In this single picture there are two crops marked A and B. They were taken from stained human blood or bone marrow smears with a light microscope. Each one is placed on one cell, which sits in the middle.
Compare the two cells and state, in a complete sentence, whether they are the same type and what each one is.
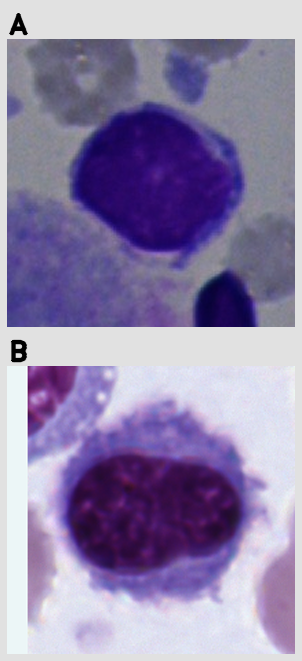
No, crop A shows a lymphocyte, with a plasma cell shown in crop B.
